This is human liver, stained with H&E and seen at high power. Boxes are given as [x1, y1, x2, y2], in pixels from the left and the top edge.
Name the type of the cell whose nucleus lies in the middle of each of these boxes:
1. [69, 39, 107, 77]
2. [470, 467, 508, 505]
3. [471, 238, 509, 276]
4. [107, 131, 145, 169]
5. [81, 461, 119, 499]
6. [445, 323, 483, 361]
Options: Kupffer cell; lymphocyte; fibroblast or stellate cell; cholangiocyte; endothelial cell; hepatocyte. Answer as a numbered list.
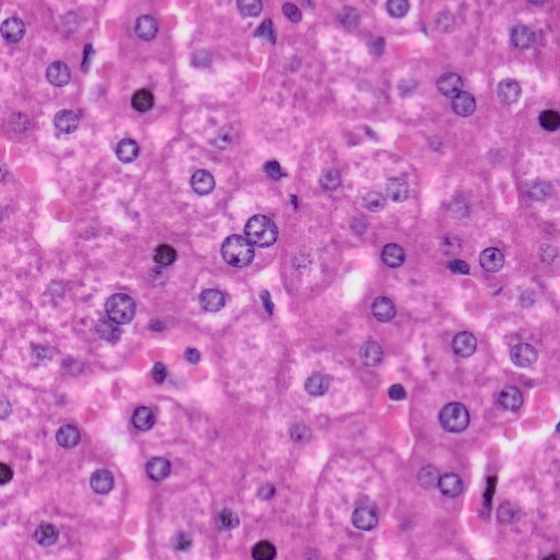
1. endothelial cell
2. Kupffer cell
3. hepatocyte
4. hepatocyte
5. hepatocyte
6. hepatocyte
